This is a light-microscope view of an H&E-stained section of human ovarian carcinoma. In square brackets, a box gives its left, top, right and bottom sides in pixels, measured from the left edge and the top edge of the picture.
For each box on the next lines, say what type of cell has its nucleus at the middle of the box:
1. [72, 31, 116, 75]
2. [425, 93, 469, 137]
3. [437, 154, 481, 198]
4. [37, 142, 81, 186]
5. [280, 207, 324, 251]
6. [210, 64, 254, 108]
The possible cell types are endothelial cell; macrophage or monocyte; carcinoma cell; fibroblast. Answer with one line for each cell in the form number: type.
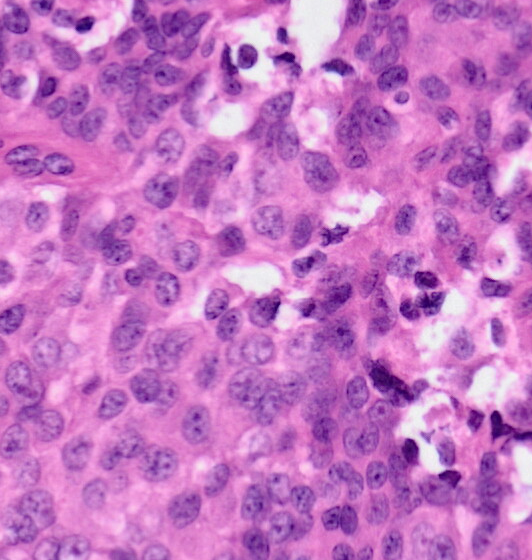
1: carcinoma cell
2: endothelial cell
3: carcinoma cell
4: endothelial cell
5: carcinoma cell
6: macrophage or monocyte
